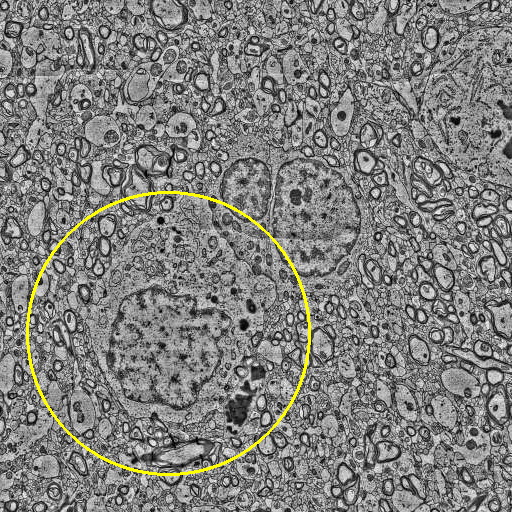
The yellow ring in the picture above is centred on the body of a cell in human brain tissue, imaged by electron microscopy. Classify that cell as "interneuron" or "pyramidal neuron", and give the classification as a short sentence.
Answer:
The cell in the middle of the ring is an interneuron.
